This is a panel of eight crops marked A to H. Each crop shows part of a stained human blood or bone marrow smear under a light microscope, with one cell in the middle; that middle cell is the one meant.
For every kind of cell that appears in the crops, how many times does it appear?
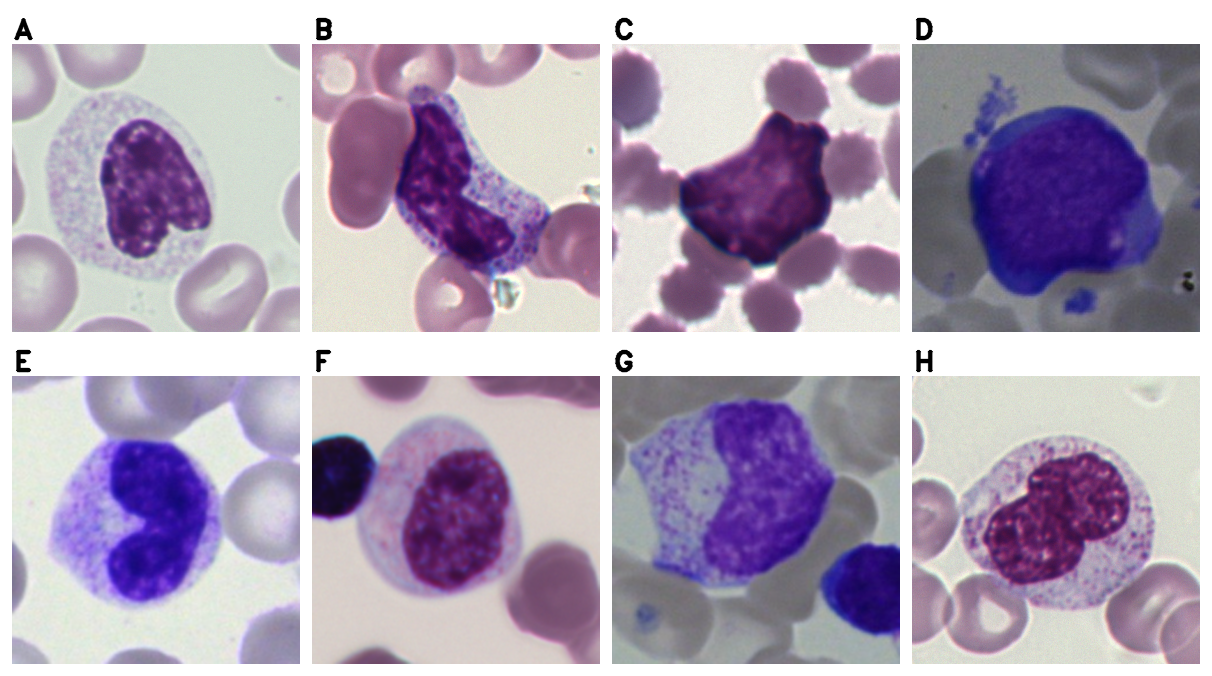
band neutrophil: 4
metamyelocyte: 2
blast: 2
